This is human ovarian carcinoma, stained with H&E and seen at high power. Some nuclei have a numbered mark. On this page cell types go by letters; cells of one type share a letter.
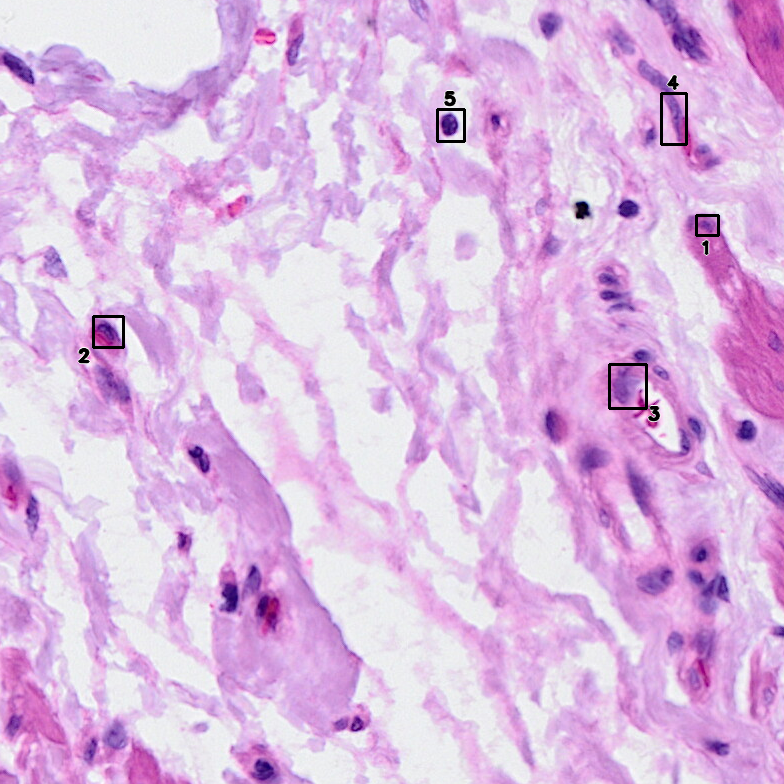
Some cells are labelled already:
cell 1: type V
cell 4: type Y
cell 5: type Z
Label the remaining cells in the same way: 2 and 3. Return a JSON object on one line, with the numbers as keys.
{"2": "type Y", "3": "type Y"}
